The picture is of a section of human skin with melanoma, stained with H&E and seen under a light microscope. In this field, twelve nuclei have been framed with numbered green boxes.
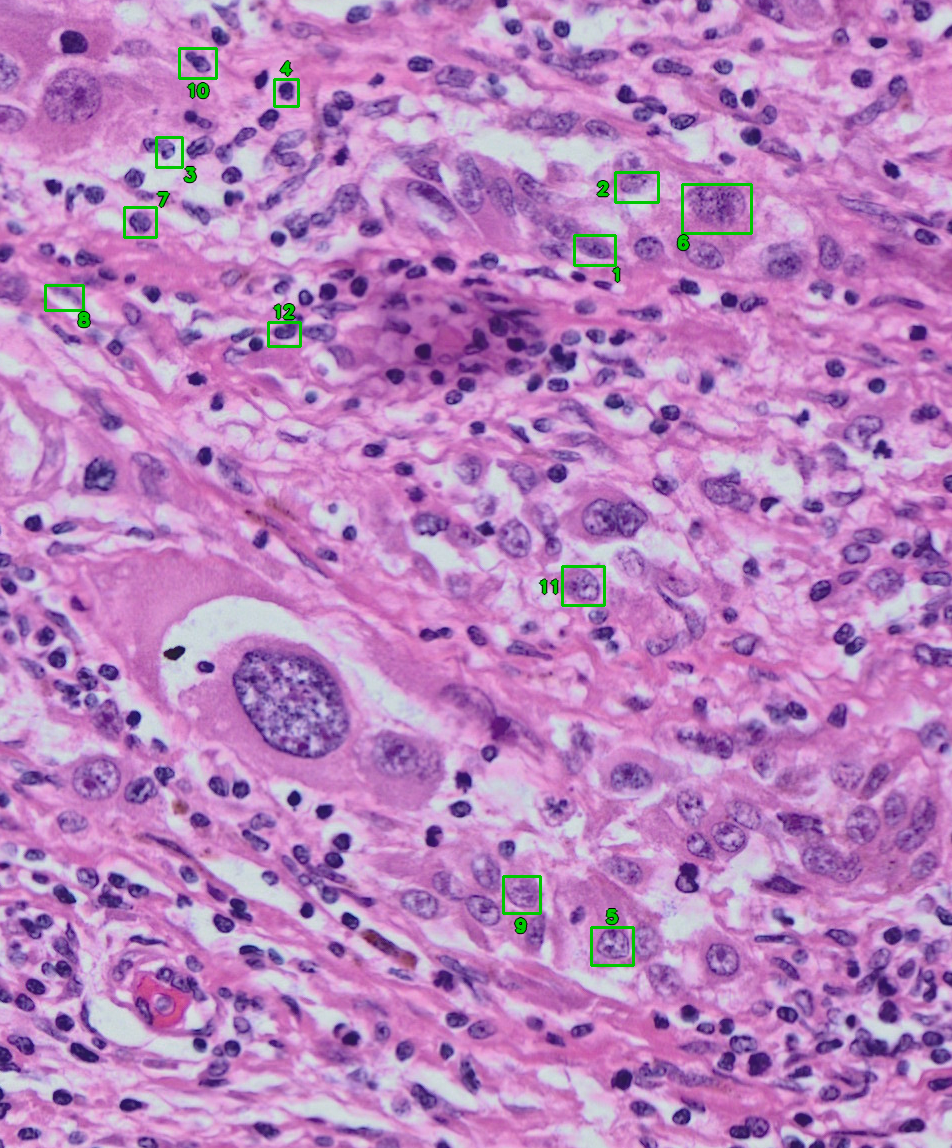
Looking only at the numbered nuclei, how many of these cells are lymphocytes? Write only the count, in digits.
5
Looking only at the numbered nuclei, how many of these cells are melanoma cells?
6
